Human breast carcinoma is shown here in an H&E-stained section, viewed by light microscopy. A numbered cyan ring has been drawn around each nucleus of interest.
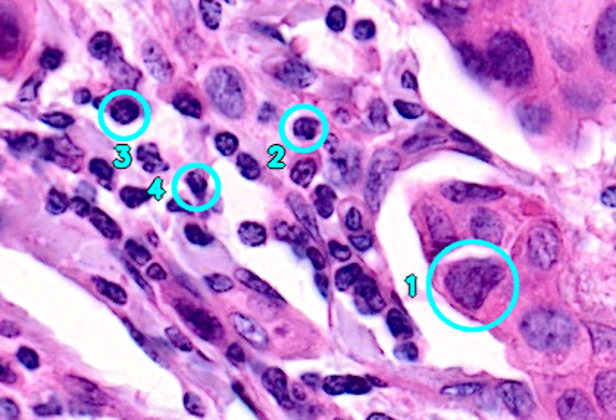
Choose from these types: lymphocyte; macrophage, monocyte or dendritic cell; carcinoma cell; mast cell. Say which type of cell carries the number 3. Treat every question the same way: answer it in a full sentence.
The cell to which the number 3 is assigned is a lymphocyte.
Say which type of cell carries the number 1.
Heads up, the cell numbered 1 is a carcinoma cell.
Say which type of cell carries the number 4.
Here, the cell given the number 4 is a lymphocyte.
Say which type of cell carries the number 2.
The nucleus with number 2 is that of a lymphocyte.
